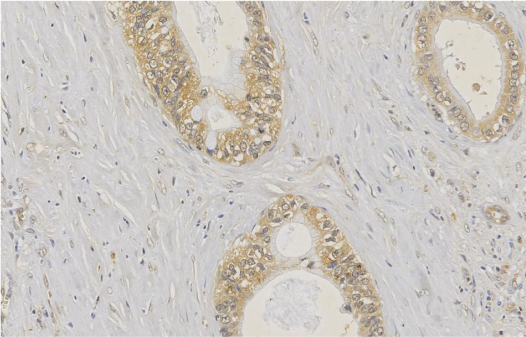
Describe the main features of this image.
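This is carcinoma tissue with tumor glands set in a broad, pale fibrous stroma, the gland-lining cells stained brown. Each gland is lined by one to several layers of epithelial cells around a wide lumen holding pale material. The tumor cells have brown cytoplasm and enlarged, irregular nuclei that are partly crowded and stratified. The stroma between the glands is made of loose fibres with scattered thin spindle-shaped nuclei and remains mostly unstained.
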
